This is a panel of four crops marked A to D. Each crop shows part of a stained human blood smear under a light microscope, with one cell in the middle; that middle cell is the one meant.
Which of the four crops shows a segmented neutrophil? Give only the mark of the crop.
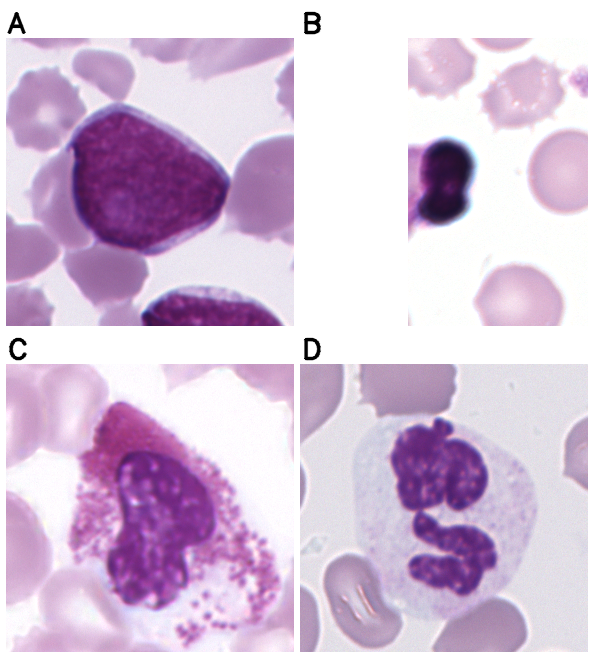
D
